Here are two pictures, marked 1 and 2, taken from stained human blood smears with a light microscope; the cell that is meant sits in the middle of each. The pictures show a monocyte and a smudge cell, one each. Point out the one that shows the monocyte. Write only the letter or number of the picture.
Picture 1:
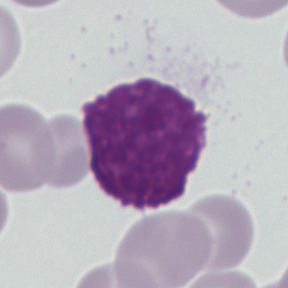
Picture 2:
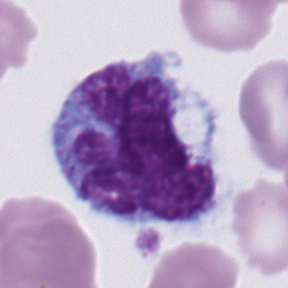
2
